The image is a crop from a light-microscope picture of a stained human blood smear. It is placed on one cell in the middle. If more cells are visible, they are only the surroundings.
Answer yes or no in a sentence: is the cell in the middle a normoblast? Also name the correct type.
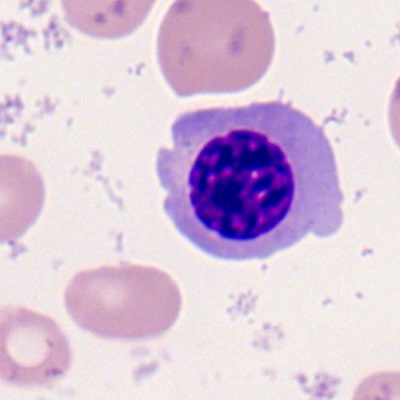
Yes, the cell in the middle of the view is a normoblast.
